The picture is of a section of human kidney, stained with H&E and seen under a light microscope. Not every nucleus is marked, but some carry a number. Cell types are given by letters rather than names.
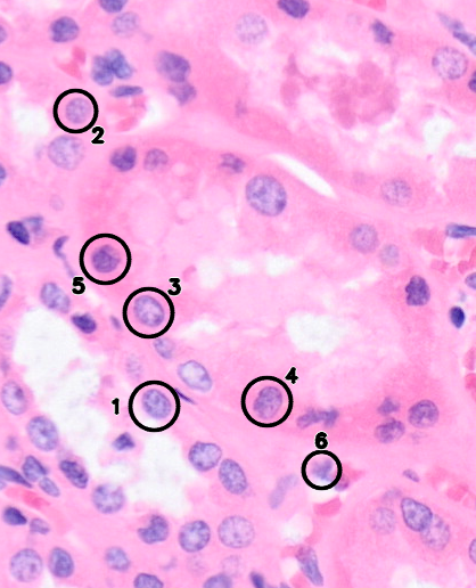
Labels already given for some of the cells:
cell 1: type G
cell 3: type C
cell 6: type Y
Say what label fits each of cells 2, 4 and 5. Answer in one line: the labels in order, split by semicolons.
type G; type C; type C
